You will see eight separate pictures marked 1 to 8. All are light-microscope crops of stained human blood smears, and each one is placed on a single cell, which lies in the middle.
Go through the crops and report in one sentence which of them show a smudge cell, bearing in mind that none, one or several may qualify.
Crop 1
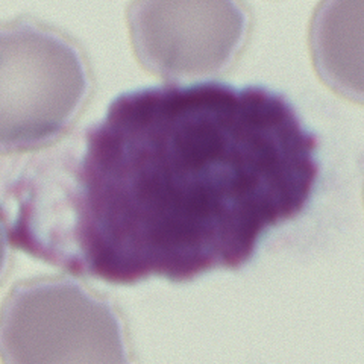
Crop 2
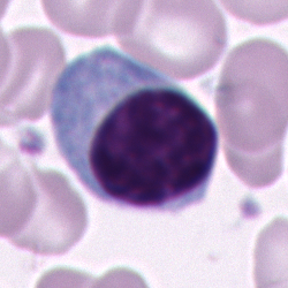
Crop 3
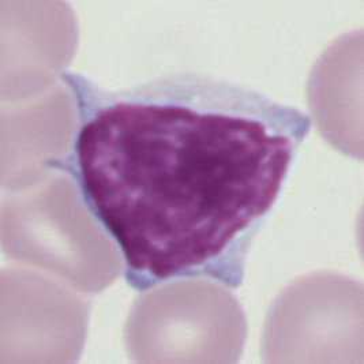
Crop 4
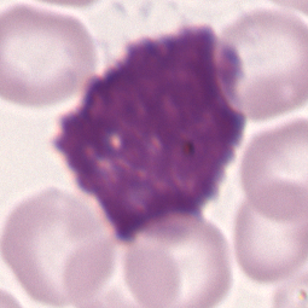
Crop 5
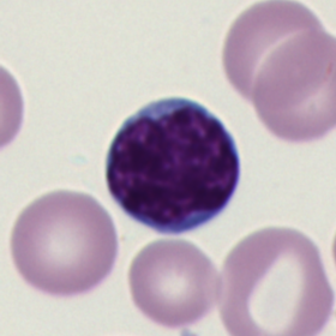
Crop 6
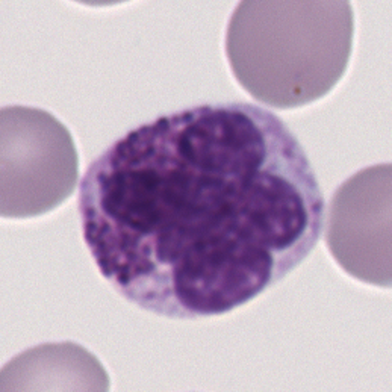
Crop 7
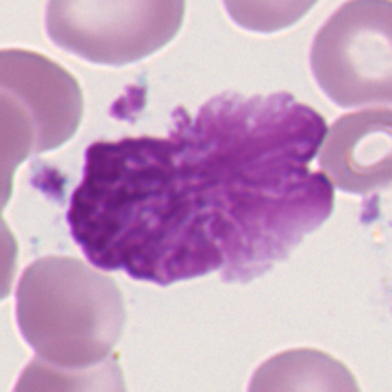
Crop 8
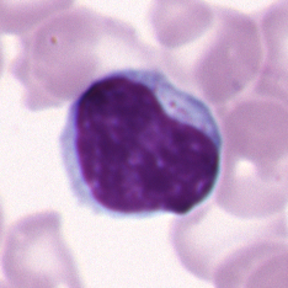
The central cells in crops 1, 4 and 7 are recognised as smudge cells.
